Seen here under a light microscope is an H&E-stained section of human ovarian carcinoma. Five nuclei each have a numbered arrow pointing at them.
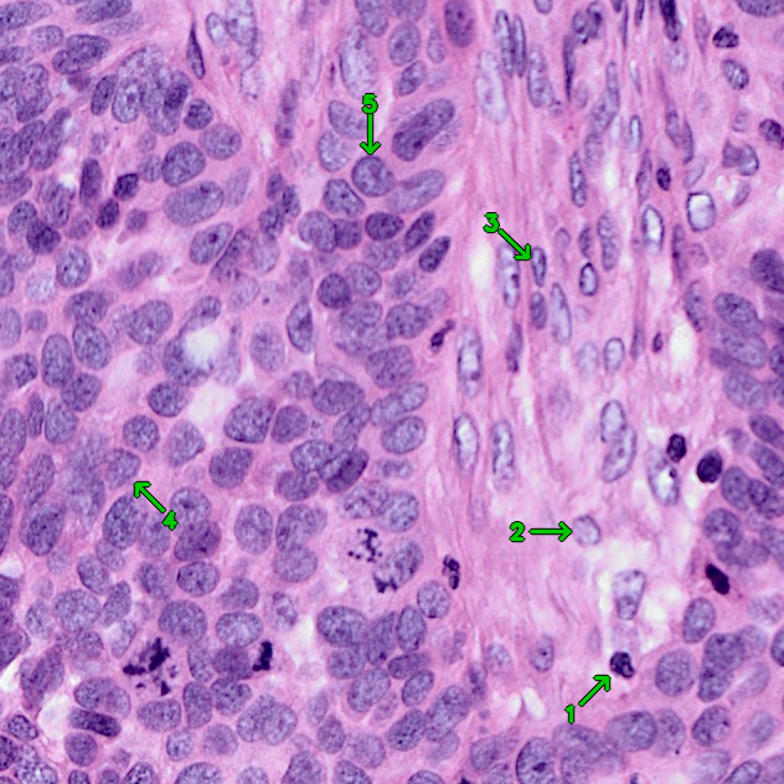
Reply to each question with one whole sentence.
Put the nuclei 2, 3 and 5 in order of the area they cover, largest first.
By area, largest first, they run 5, 2, 3.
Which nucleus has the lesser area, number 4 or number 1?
Number 1 is smaller, since number 4 takes up about 1.5 times as much area.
